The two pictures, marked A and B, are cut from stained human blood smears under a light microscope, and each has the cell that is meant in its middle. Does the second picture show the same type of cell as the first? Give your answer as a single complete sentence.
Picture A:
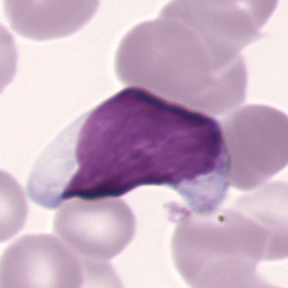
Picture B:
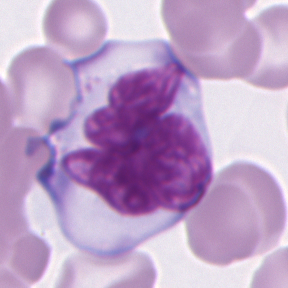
Yes; the cells in both pictures are large granular lymphocytes.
